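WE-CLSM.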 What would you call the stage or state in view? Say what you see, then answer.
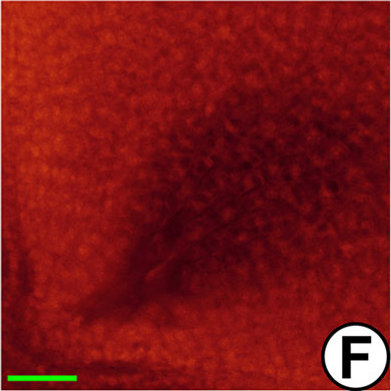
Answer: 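No clear embryo sac cavity or its nuclei can be made out. Only a faint darker smudge lies among the surrounding packed cells.
Answer: embryo sac degeneration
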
